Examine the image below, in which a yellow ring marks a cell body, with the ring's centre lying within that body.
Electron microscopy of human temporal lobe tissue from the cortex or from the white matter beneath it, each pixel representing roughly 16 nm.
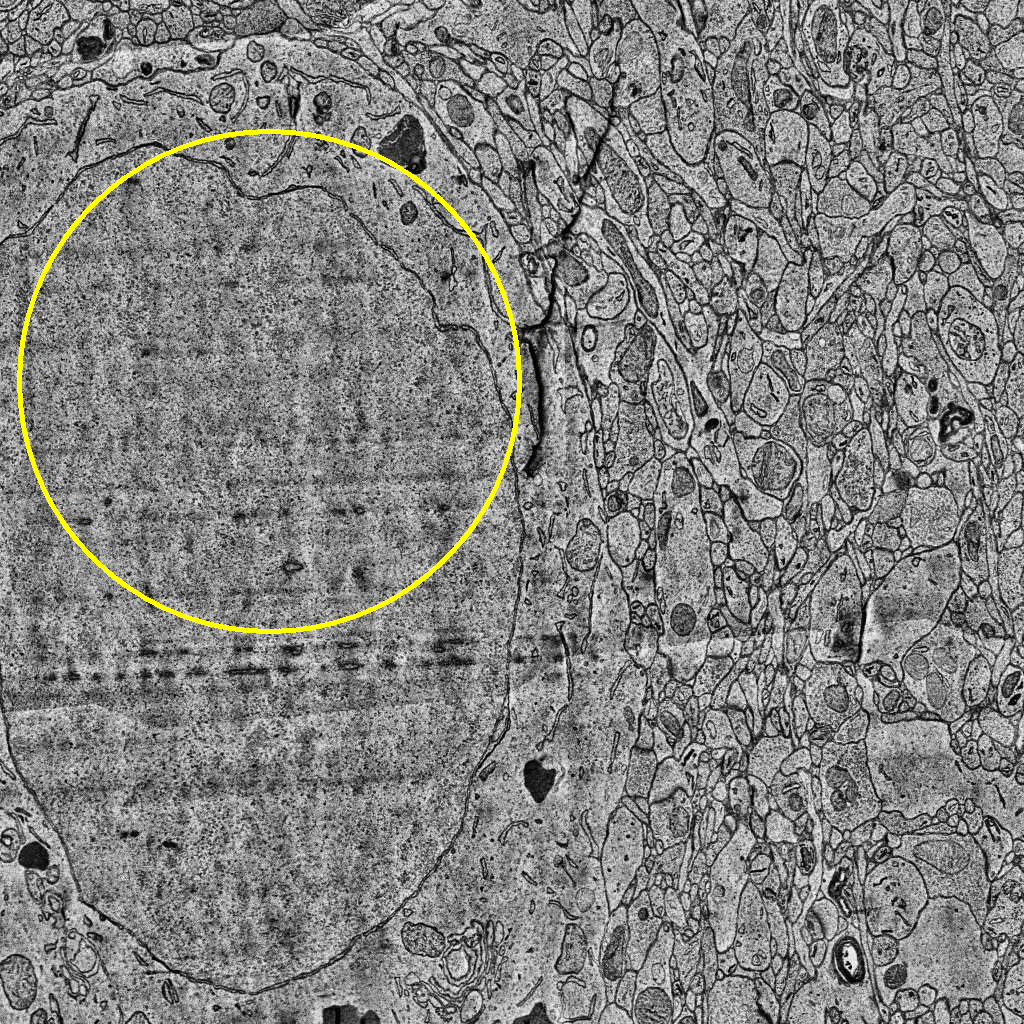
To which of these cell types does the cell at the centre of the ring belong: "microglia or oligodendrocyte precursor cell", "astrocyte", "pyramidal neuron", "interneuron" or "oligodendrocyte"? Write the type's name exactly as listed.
pyramidal neuron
